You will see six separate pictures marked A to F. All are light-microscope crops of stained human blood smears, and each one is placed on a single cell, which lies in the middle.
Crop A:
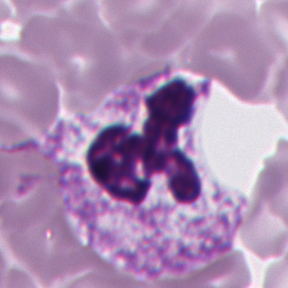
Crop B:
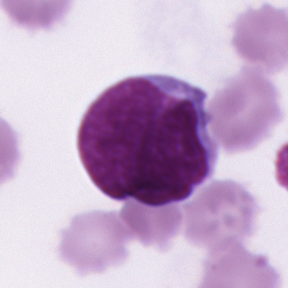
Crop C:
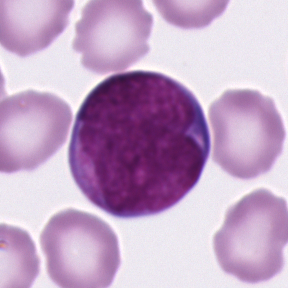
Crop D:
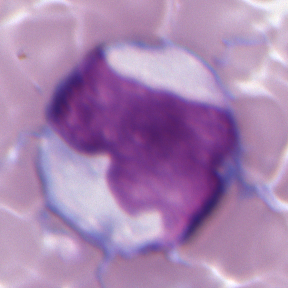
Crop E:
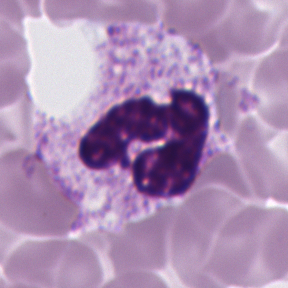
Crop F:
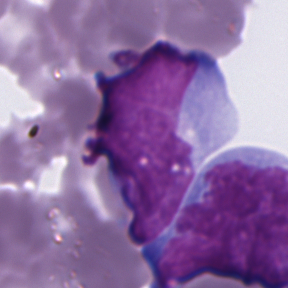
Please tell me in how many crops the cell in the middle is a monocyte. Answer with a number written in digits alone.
1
